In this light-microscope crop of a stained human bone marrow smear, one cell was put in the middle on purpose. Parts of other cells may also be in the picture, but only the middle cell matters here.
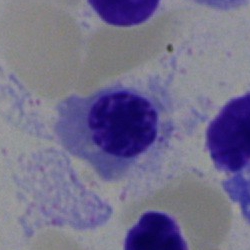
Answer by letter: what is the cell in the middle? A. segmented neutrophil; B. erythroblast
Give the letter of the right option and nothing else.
B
